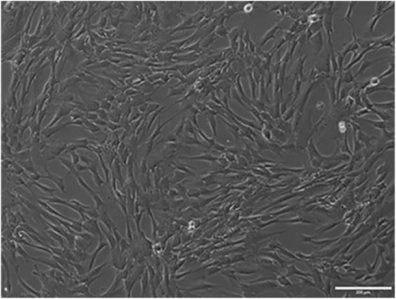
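These are cultured cells seen by phase contrast, elongated and spindle-shaped with long tapering ends. They lie close together and run in parallel streams that bend into loose swirls across the dish. A few small, bright, rounded cells stand out among the flat ones. Altogether the cells show a fibroblast-like form.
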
